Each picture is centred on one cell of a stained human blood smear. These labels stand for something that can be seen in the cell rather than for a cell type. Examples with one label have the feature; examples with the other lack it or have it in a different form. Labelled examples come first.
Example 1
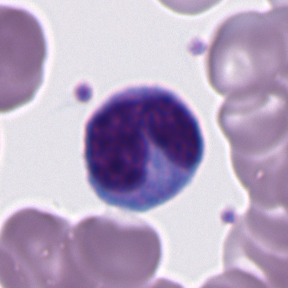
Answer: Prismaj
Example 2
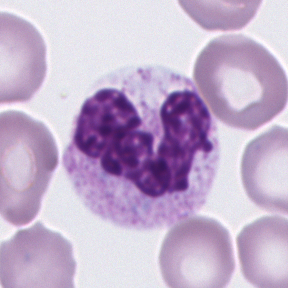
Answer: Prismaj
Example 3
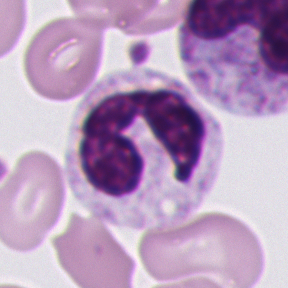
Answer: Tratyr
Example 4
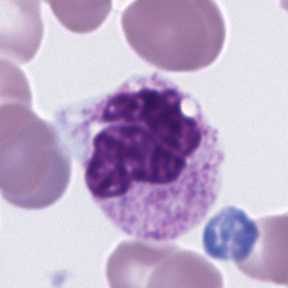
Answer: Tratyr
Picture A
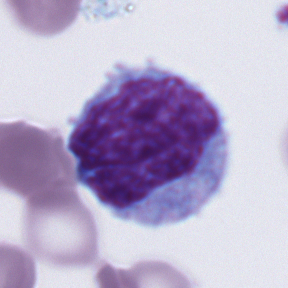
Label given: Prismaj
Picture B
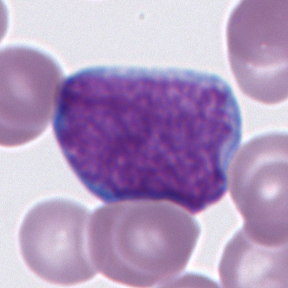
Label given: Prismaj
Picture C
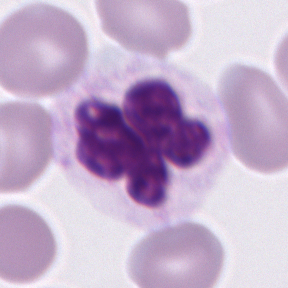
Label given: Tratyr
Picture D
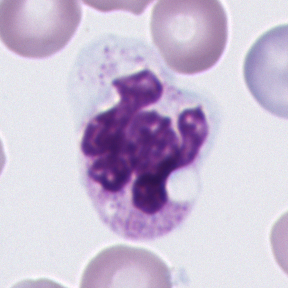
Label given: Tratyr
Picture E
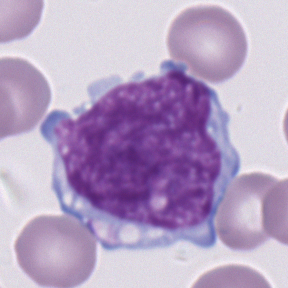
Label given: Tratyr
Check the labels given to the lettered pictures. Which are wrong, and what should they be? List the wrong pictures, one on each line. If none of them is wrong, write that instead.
C: not Tratyr but Prismaj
